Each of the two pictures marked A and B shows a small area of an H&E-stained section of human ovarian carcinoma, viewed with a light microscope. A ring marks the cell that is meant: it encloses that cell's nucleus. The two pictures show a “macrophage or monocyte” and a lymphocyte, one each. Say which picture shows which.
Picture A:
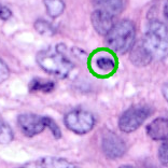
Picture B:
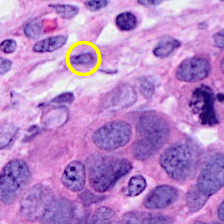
A: lymphocyte
B: macrophage or monocyte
